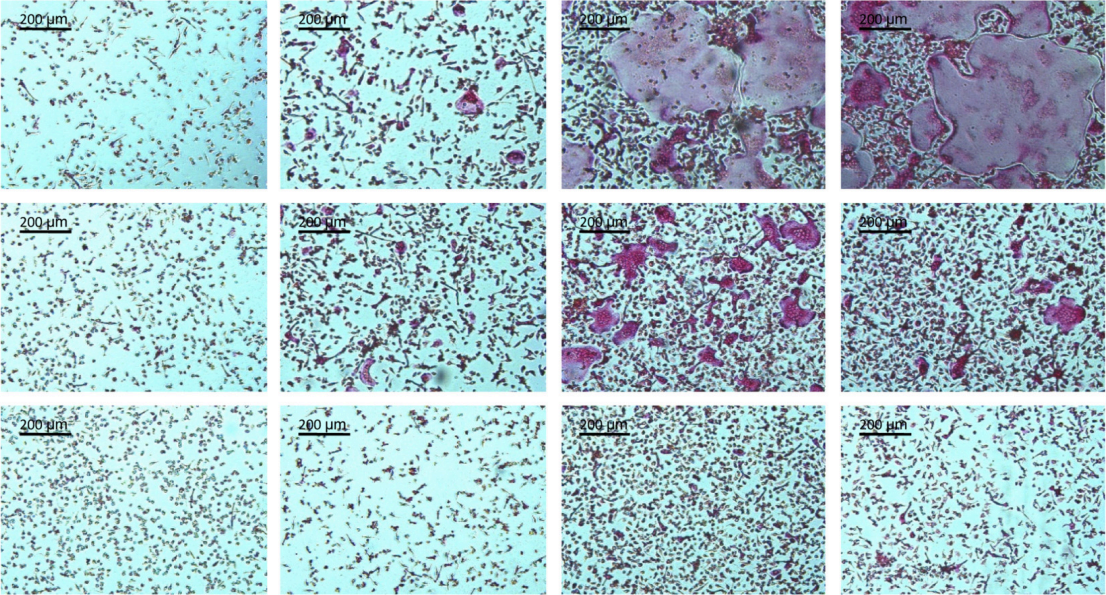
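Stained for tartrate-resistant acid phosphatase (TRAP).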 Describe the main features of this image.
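In several fields, large, flat cells stained magenta stand out among them, some small and irregular and others spreading into broad sheets with wavy borders that cover much of the field. Other fields contain only the small cells, with no large magenta-stained cells.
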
